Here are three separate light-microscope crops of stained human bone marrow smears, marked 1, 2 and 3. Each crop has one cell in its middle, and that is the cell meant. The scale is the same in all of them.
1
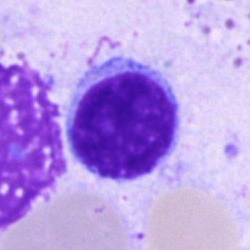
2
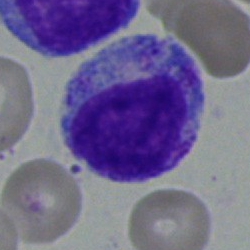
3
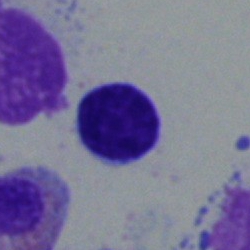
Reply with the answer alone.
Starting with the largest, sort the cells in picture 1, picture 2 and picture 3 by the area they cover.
2, 1, 3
